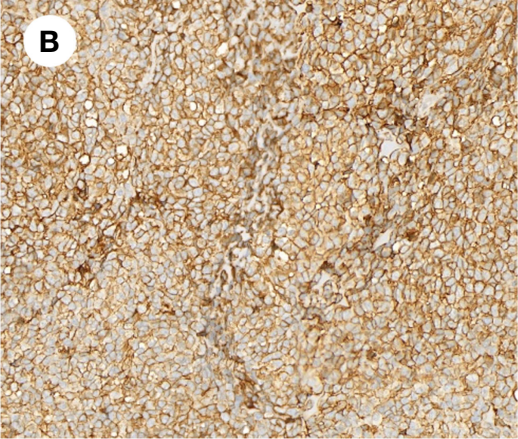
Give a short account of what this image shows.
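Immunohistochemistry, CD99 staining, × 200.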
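A field of small round tumour cells, densely packed in sheets. Nearly every cell has a brown-stained outline at its cell membrane, which gives the field a honeycomb or mosaic pattern of brown rings. The cell interiors and nuclei are pale grey to light brown. Staining is diffuse and strong across the whole field, with a few darker brown streaks along thin fibrous bands between groups of cells.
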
